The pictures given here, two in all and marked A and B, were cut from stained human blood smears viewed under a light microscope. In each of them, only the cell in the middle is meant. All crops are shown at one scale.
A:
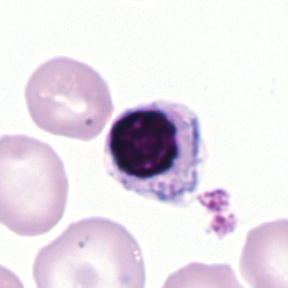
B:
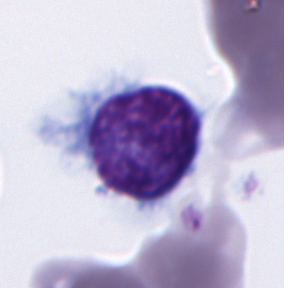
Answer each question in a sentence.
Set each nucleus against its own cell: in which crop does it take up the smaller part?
In crop A the nucleus takes up the smaller part of its cell.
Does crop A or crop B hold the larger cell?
Larger is the cell in crop B, at roughly 1.5 times the area of the other.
